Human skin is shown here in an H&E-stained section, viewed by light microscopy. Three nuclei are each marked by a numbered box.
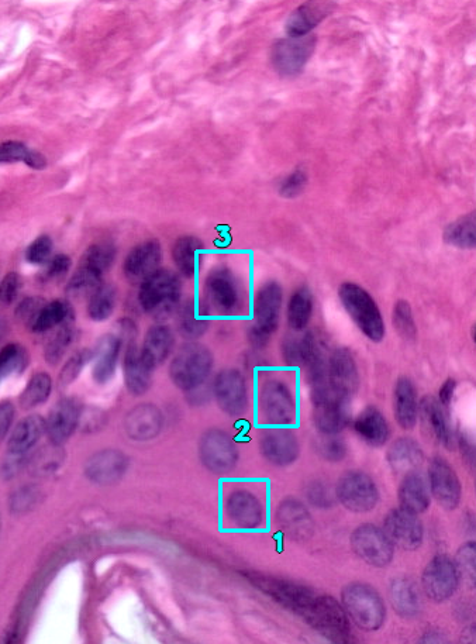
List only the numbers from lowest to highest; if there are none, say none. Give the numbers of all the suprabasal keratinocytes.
1, 2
